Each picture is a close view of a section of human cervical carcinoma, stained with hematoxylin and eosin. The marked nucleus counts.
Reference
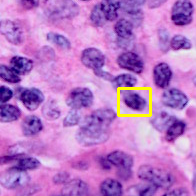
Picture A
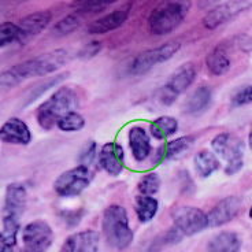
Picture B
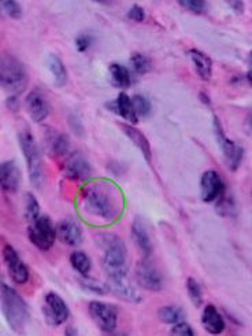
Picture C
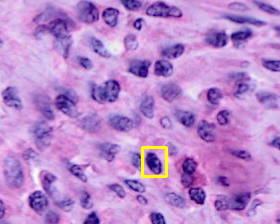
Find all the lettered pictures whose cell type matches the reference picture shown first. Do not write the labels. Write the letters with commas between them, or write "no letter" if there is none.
A, C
